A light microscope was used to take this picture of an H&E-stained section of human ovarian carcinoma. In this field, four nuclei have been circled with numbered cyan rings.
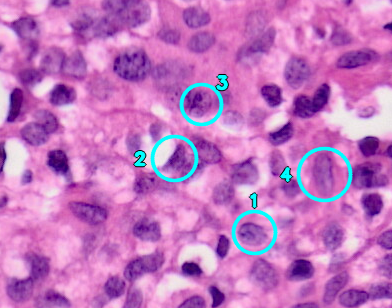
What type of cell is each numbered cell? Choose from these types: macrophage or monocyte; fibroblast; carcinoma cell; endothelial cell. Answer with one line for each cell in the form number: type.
1: macrophage or monocyte
2: carcinoma cell
3: carcinoma cell
4: endothelial cell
